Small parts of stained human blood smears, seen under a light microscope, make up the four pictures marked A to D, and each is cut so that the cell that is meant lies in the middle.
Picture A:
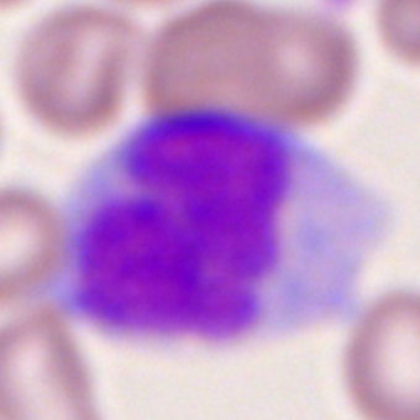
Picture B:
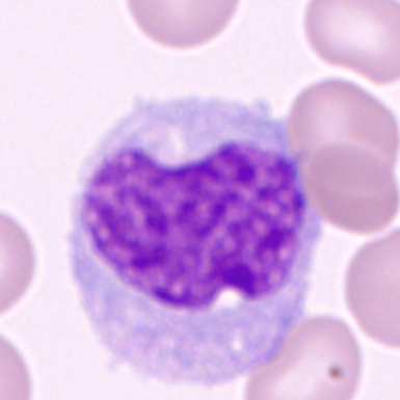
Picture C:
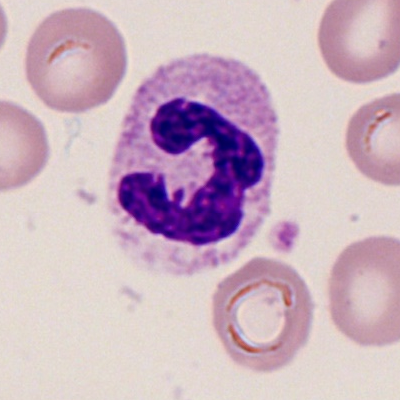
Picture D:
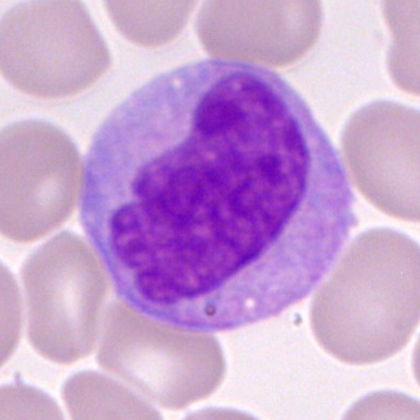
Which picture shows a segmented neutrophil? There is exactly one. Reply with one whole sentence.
It is picture C that shows the segmented neutrophil.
